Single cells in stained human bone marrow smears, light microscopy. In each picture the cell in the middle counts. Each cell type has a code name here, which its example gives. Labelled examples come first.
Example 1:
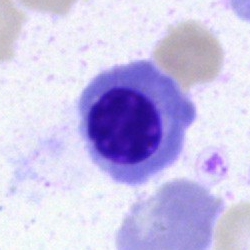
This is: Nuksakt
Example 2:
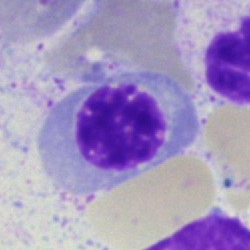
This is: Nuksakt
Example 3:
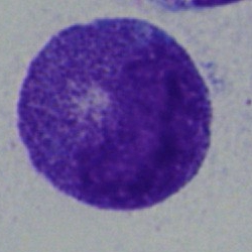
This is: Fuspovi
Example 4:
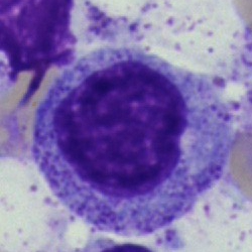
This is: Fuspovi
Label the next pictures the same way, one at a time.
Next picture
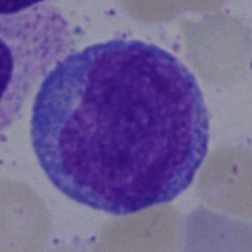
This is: Fuspovi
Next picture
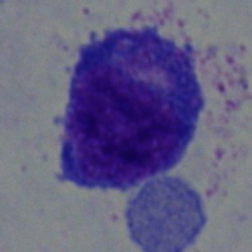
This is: Fuspovi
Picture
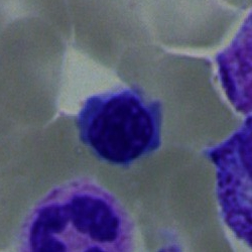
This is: Nuksakt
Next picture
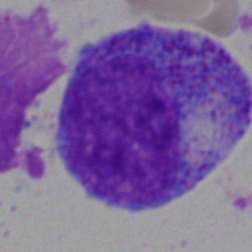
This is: Fuspovi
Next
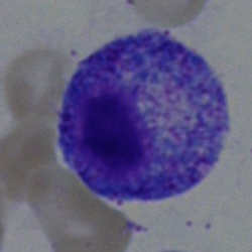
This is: Fuspovi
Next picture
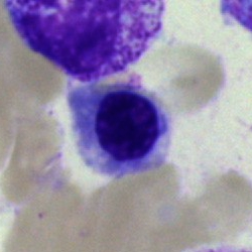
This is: Nuksakt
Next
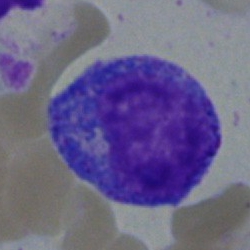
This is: Fuspovi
